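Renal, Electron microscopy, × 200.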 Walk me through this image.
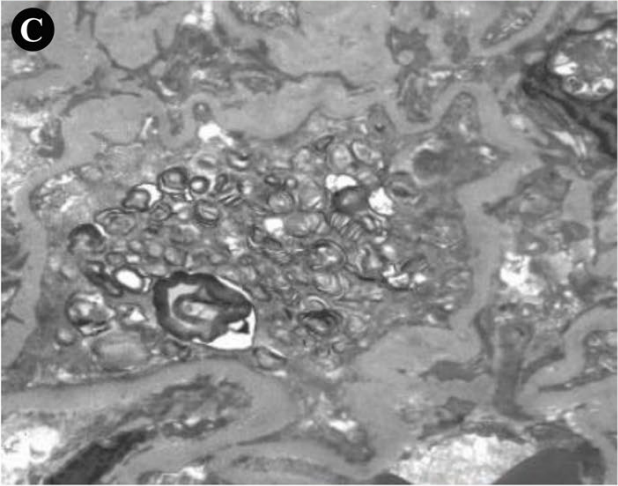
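This electron micrograph shows the cytoplasm of a glomerular epithelial cell crowded with round inclusions. The inclusions are built of concentric, onion-like layers of membrane, some pale and some dark with tight whorls. Grey bands of basement membrane run around the swollen cell.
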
